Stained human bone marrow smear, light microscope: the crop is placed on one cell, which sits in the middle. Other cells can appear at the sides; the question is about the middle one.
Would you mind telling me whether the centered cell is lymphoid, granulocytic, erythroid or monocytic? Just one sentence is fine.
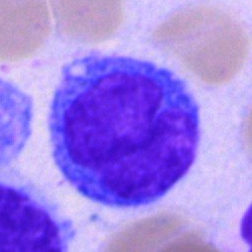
Classified by lineage, the middle cell is monocytic.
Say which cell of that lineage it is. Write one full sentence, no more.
Located at the centre of the crop is a monocyte.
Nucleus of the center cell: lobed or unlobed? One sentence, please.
What stands out is a nucleus forming one compact round, oval or kidney-shaped mass.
